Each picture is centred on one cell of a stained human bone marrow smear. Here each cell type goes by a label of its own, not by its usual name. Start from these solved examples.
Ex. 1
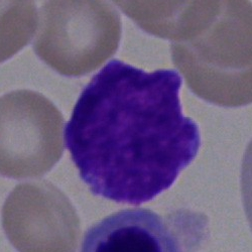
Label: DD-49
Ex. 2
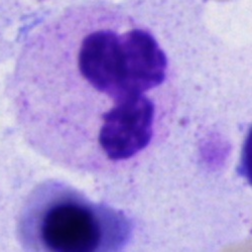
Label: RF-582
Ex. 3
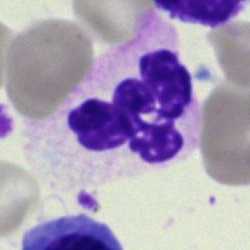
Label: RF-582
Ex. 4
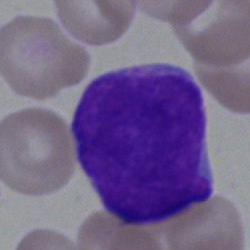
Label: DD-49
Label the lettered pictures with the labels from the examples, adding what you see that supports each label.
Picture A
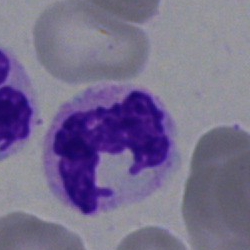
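RF-582: The nucleus is a single thick band bent into a horseshoe shape.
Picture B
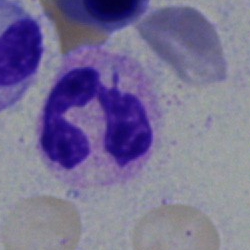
RF-582: The cytoplasm is plentiful and pale pink.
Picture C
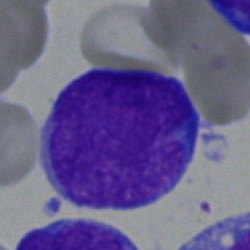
DD-49: The nucleus fills almost the whole cell.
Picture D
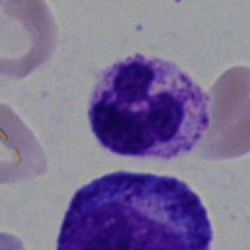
RF-582: The nuclear chromatin is dense, dark purple and coarsely clumped.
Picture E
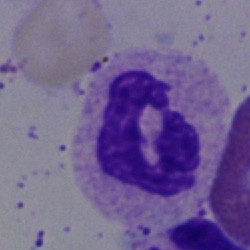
RF-582: The chromatin is dark purple and coarsely clumped.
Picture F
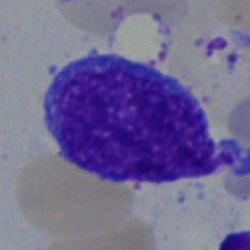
DD-49: The nucleus fills most of the cell.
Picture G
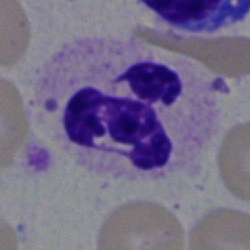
RF-582: Fine lilac granules are scattered throughout the cytoplasm.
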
